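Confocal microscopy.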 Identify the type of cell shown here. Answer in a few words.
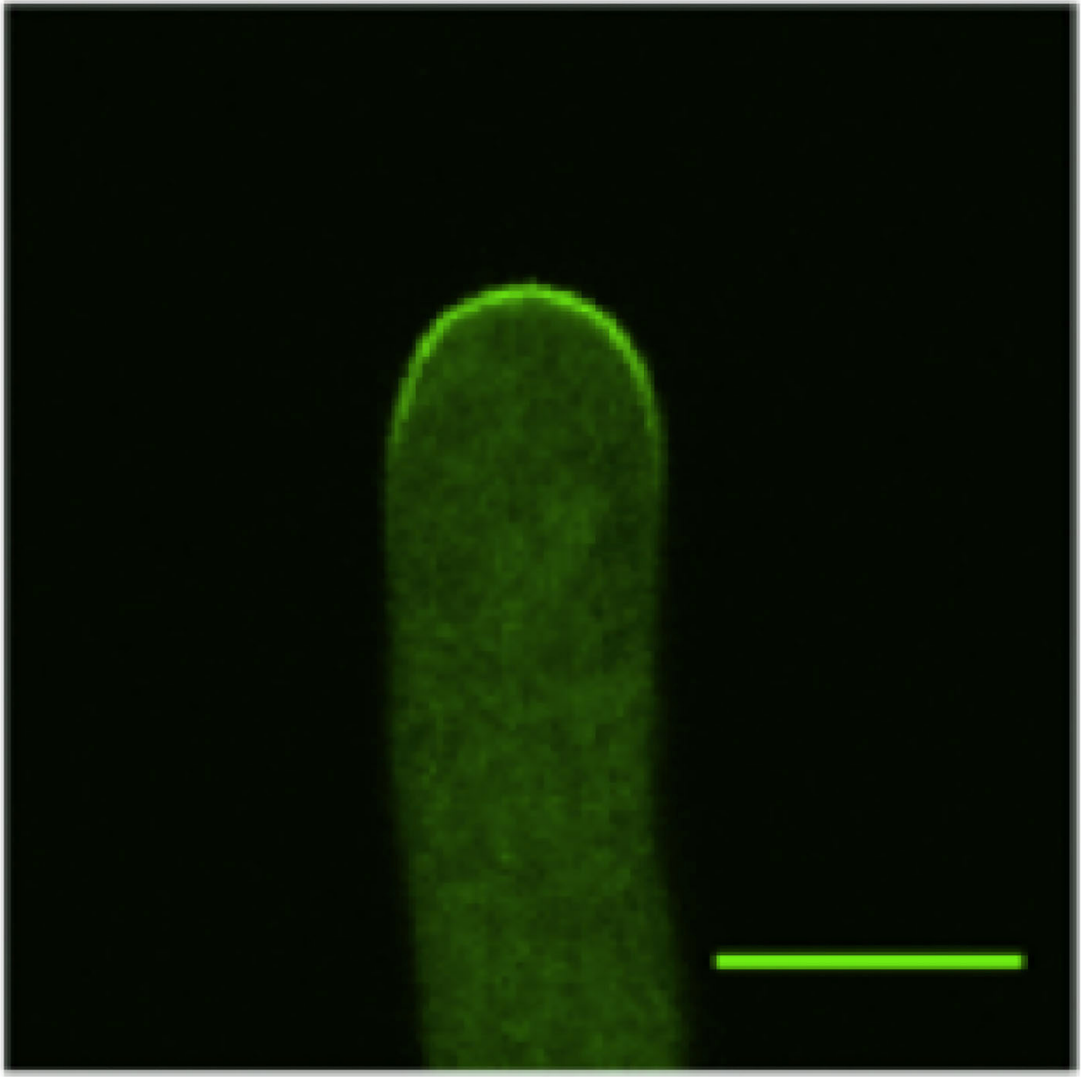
pollen tube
